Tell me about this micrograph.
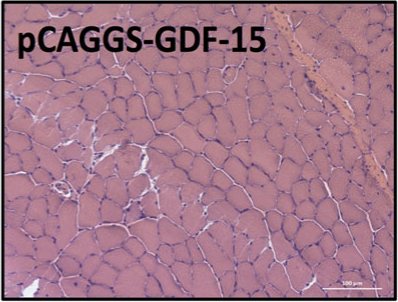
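This is a cross-section of skeletal muscle in which the myofibres are cut across and appear as pink polygons. The fibres are fairly small and closely packed, so many of them fit in the field. Each is rimmed by a thin line of connective tissue, and dark purple nuclei sit at the fibre edges. Toward the upper right a band of paler, orange-pink tissue runs across the field between groups of fibres.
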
